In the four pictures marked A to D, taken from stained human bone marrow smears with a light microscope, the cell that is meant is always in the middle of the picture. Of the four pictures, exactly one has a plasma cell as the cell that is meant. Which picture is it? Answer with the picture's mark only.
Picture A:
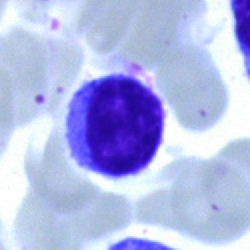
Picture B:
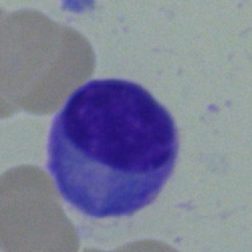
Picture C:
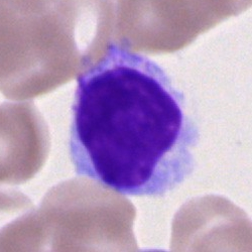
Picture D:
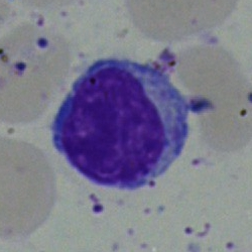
B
